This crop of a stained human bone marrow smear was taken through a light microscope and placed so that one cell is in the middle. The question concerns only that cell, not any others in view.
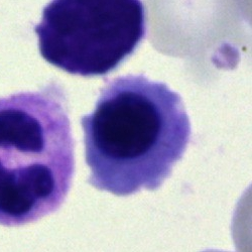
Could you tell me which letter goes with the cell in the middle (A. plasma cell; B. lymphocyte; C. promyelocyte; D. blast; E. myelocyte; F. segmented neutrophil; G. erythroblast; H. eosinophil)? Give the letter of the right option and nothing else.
G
